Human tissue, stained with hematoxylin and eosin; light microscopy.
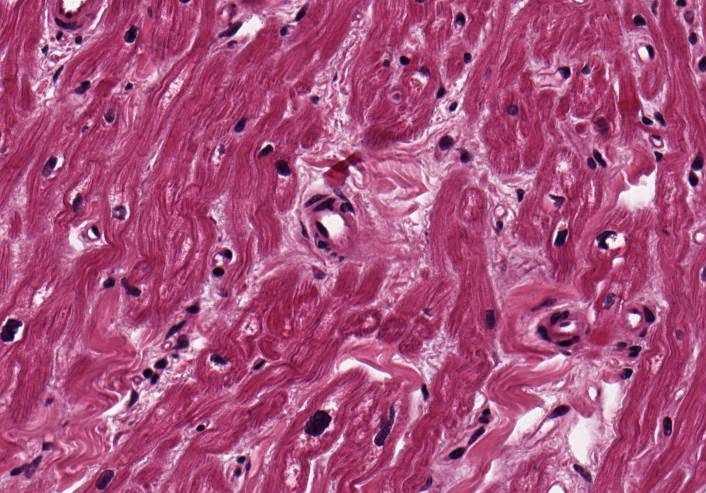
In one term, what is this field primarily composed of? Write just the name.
myocardium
